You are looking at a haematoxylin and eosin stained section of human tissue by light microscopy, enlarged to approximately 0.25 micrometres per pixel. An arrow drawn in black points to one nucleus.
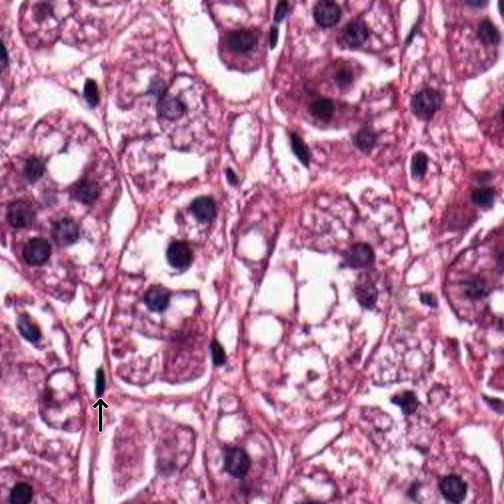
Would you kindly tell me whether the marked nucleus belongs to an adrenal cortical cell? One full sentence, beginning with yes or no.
No, an adrenal cortical cell does not own the marked nucleus, which belongs to a supporting cell.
